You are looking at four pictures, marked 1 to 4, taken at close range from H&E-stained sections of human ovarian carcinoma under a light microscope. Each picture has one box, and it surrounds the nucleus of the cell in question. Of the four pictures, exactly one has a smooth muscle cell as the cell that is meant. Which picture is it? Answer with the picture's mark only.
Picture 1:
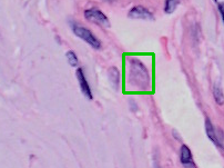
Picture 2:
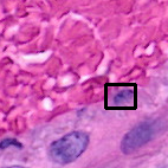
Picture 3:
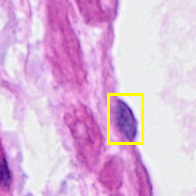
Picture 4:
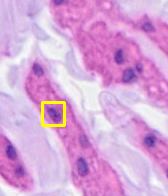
4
